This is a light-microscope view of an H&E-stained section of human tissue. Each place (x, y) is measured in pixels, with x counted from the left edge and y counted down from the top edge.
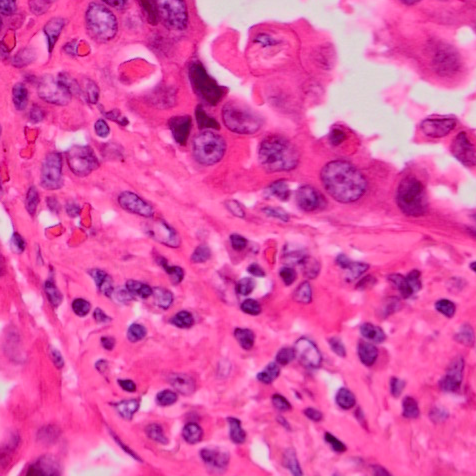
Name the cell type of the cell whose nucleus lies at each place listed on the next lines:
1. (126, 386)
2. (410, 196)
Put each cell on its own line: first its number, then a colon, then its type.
1: lymphocyte
2: carcinoma cell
